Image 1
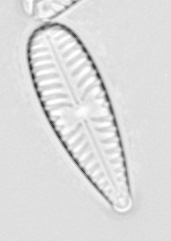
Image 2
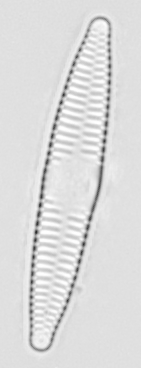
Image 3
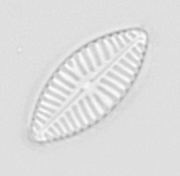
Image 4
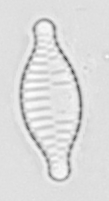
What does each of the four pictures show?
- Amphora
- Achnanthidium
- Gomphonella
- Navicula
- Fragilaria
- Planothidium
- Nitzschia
1: Gomphonella
2: Fragilaria
3: Navicula
4: Fragilaria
